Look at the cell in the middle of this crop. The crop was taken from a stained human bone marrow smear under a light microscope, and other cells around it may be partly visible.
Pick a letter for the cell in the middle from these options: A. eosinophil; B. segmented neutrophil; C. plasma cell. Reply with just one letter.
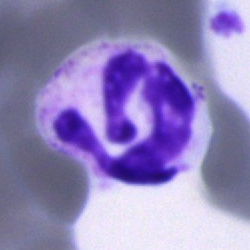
B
